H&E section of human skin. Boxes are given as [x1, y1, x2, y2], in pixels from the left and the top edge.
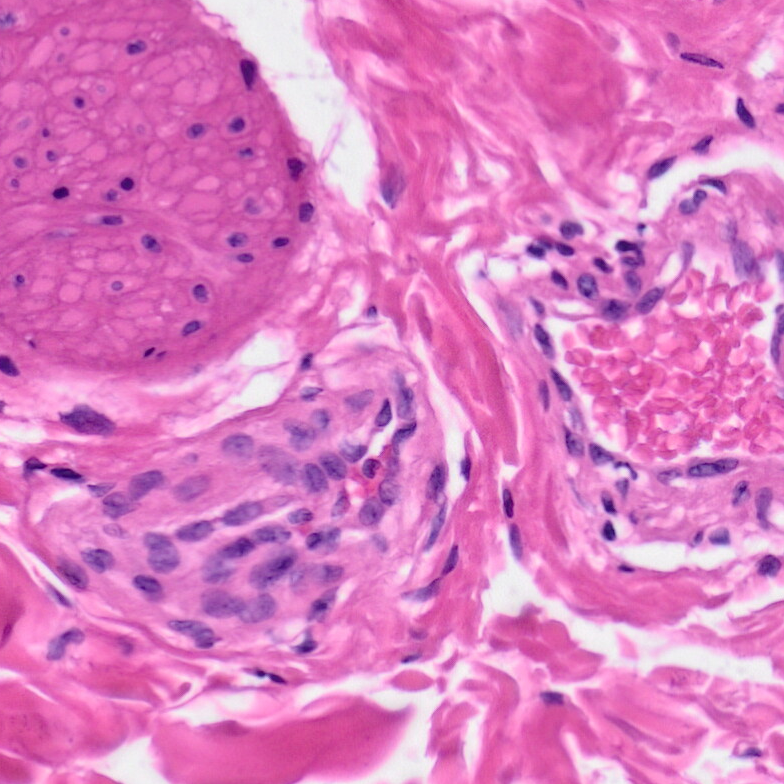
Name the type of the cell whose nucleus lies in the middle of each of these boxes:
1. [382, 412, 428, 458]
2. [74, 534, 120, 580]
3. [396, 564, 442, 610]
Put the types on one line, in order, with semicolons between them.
endothelial cell; endothelial cell; fibroblast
